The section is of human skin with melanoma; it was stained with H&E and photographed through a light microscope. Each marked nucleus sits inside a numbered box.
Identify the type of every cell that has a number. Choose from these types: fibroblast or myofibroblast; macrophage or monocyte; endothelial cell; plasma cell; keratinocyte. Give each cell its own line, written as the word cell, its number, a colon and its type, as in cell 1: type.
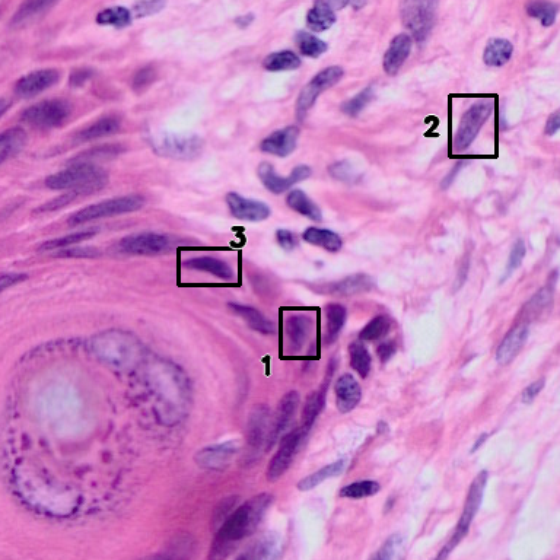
cell 1: keratinocyte
cell 2: fibroblast or myofibroblast
cell 3: keratinocyte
